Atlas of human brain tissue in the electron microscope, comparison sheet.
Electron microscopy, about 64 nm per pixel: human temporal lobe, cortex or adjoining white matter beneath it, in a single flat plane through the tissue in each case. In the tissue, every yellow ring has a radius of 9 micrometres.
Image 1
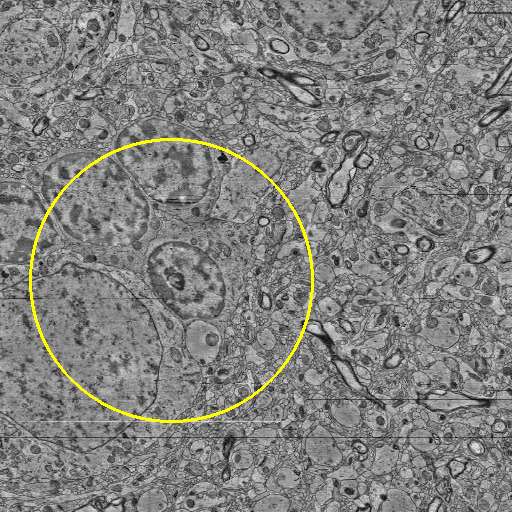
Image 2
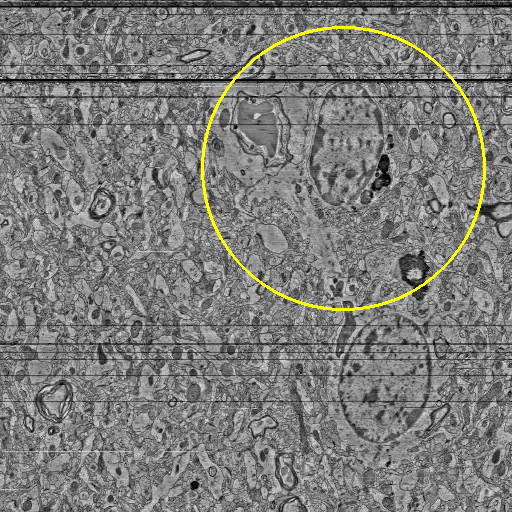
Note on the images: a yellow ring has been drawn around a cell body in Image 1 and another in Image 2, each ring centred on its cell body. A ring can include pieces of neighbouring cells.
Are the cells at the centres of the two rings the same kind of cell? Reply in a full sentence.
No, the two cells are of two kinds.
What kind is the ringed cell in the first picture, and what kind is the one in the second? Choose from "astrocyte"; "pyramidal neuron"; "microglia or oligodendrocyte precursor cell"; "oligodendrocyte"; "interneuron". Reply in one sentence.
The first cell is an oligodendrocyte; the second is a microglial cell or oligodendrocyte precursor cell.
